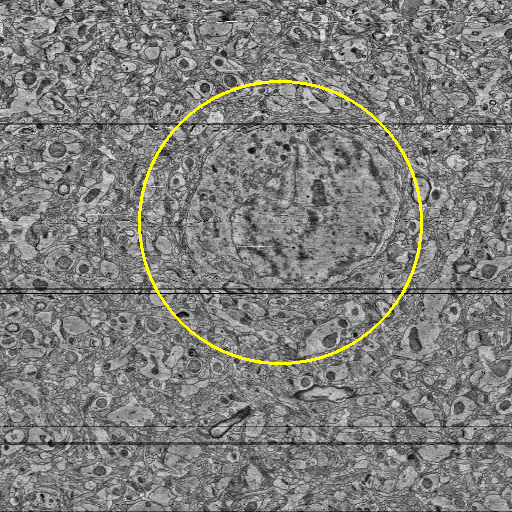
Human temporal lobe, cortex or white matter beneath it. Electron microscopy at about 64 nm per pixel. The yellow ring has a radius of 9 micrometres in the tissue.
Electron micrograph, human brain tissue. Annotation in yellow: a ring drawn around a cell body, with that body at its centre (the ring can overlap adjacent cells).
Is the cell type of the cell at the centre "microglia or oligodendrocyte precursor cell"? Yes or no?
No, it is of another type.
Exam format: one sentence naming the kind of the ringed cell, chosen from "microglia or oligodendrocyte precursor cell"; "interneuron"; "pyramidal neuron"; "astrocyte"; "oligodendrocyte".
The cell ringed in the picture is an interneuron.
